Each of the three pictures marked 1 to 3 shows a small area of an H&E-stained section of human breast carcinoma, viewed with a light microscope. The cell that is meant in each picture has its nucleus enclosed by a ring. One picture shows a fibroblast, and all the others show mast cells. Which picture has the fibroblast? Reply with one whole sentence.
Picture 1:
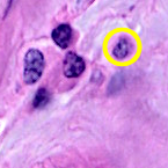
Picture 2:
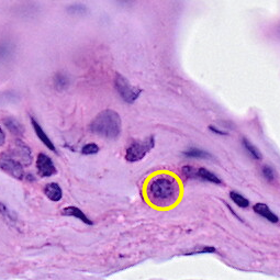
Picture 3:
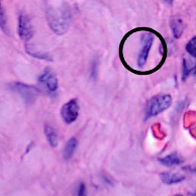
The cell in picture 3 is the fibroblast.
